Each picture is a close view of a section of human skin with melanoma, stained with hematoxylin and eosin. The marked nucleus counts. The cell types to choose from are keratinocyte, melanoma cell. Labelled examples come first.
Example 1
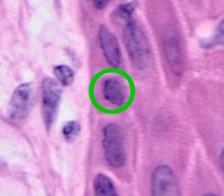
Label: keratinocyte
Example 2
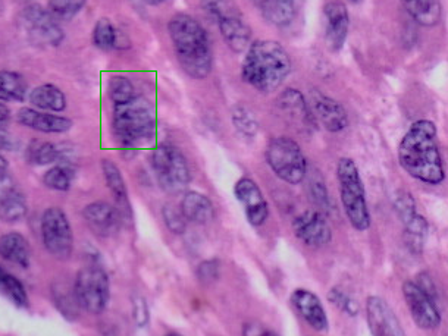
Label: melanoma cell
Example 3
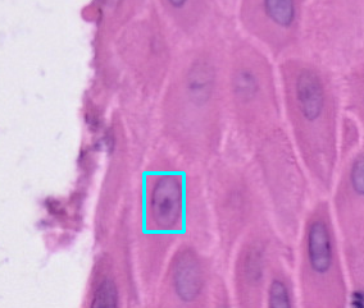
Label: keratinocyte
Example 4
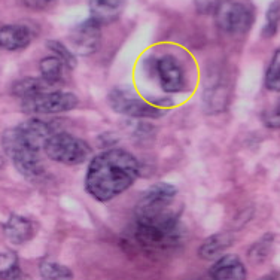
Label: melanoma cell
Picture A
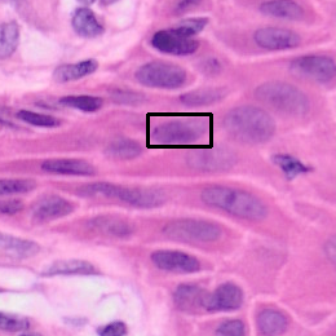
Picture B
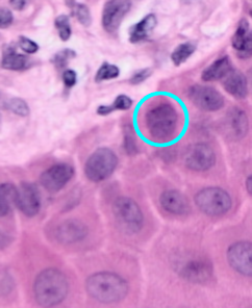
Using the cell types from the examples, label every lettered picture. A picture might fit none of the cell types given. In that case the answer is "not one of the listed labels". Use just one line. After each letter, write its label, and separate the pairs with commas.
A keratinocyte, B keratinocyte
